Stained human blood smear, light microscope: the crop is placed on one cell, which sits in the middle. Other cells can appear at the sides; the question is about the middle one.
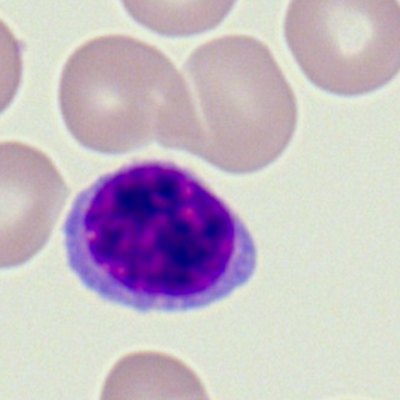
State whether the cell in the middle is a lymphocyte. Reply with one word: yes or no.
yes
